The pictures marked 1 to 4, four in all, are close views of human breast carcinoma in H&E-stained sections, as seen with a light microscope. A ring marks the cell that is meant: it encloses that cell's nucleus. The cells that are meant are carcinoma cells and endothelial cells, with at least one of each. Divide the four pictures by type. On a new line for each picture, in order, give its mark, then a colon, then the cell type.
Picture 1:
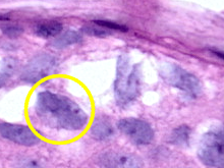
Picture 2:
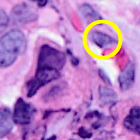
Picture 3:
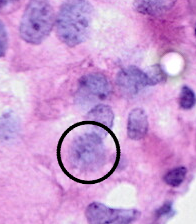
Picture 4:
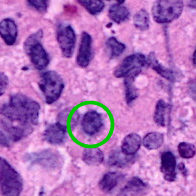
1: carcinoma cell
2: endothelial cell
3: carcinoma cell
4: carcinoma cell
